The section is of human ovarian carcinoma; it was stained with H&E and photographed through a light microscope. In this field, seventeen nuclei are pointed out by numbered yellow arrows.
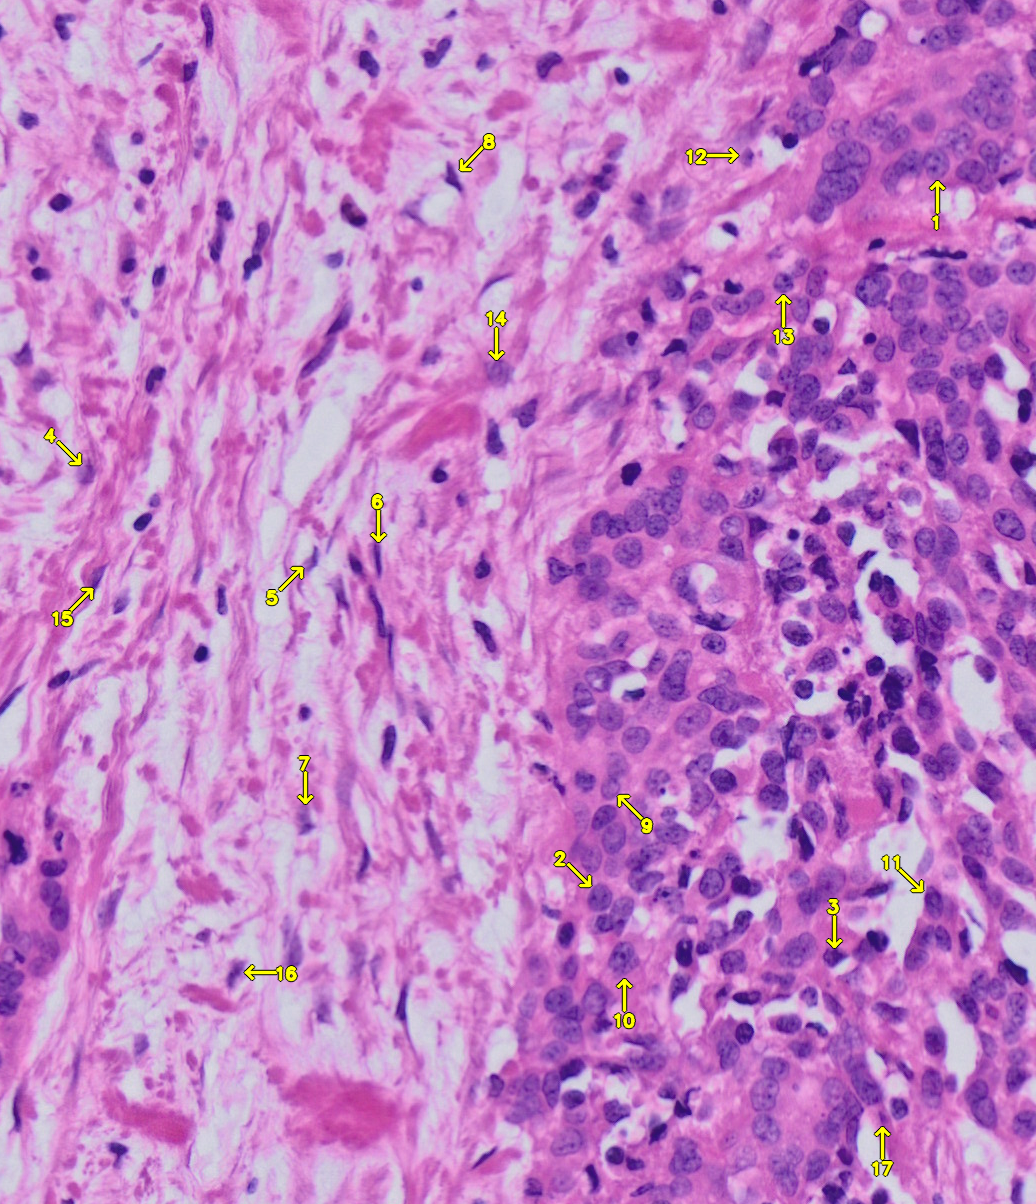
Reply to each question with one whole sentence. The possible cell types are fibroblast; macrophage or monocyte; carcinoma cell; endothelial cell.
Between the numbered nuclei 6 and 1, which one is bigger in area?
Nucleus 1 covers more area, about 3 times as much as nucleus 6.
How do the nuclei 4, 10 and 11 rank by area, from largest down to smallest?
Going from the biggest nucleus down to the smallest gives 10, 11, 4.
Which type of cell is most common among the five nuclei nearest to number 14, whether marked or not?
Macrophages or monocytes account for more than half of the five nuclei nearest to number 14.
